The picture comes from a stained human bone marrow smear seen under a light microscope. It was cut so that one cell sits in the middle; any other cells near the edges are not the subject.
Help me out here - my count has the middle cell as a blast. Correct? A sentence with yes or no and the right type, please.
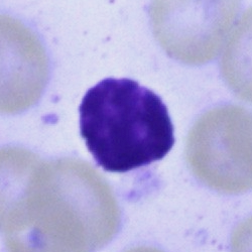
No, sorry, the middle cell is a lymphocyte rather than a blast.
